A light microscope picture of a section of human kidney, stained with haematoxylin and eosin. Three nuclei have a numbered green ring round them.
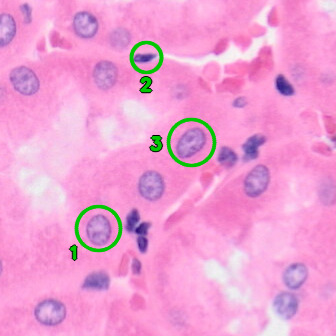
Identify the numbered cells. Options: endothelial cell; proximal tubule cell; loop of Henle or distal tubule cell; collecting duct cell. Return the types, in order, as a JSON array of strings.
["proximal tubule cell", "endothelial cell", "proximal tubule cell"]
